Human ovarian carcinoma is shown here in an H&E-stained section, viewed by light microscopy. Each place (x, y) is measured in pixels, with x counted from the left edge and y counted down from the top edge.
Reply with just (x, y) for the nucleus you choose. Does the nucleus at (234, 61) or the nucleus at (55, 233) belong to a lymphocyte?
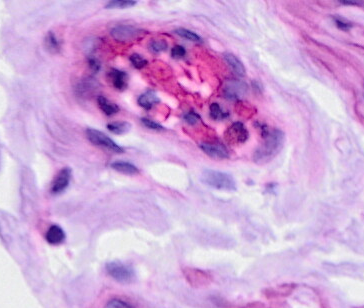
(55, 233)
